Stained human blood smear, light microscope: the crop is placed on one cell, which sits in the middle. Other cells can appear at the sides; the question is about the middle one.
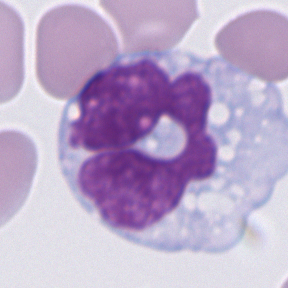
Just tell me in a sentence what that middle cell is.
The central cell, amid any neighbouring cells, is a monocyte.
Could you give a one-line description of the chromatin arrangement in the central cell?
There is no coarse clumping; the chromatin stays fine throughout.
